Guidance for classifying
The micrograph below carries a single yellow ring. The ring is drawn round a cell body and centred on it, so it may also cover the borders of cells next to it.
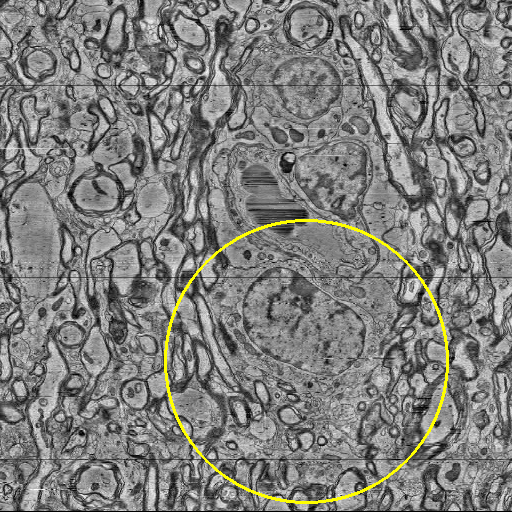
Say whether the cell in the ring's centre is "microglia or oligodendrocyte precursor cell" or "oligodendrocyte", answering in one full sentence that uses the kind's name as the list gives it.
Within the yellow ring, a microglial cell or oligodendrocyte precursor cell is the cell whose body sits at the centre.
